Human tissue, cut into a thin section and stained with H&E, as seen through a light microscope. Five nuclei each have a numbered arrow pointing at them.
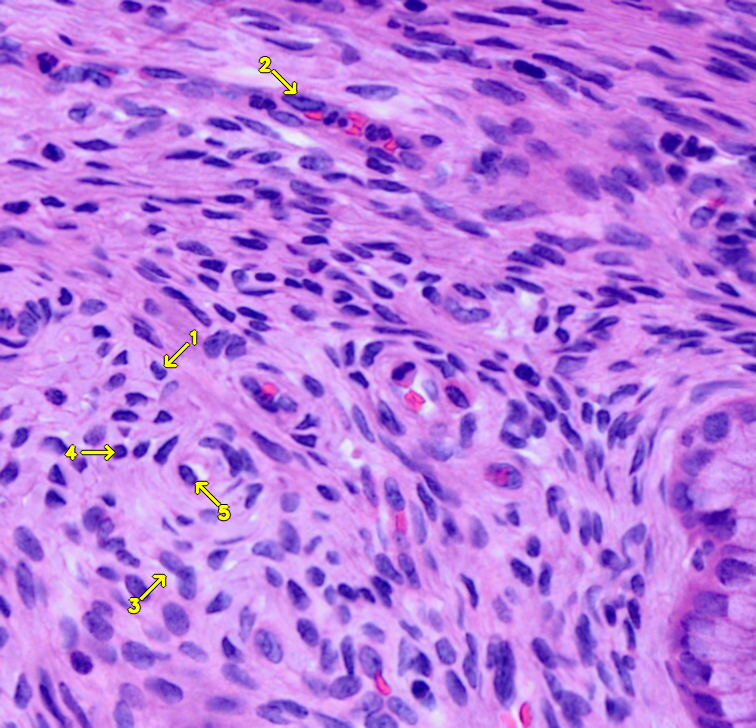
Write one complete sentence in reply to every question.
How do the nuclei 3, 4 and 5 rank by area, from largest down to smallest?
Largest first, the order by area is 3, 5, 4.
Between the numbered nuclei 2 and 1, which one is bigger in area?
At about 4 times the area of nucleus 1, nucleus 2 is the larger of the two.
